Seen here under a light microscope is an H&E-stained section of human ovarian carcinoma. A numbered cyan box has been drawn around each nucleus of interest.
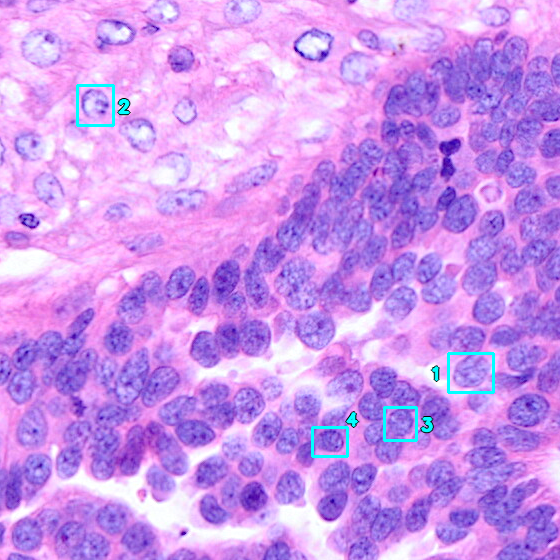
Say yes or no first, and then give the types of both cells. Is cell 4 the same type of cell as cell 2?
No, the cell numbered 4 is a carcinoma cell and the cell numbered 2 is a fibroblast.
